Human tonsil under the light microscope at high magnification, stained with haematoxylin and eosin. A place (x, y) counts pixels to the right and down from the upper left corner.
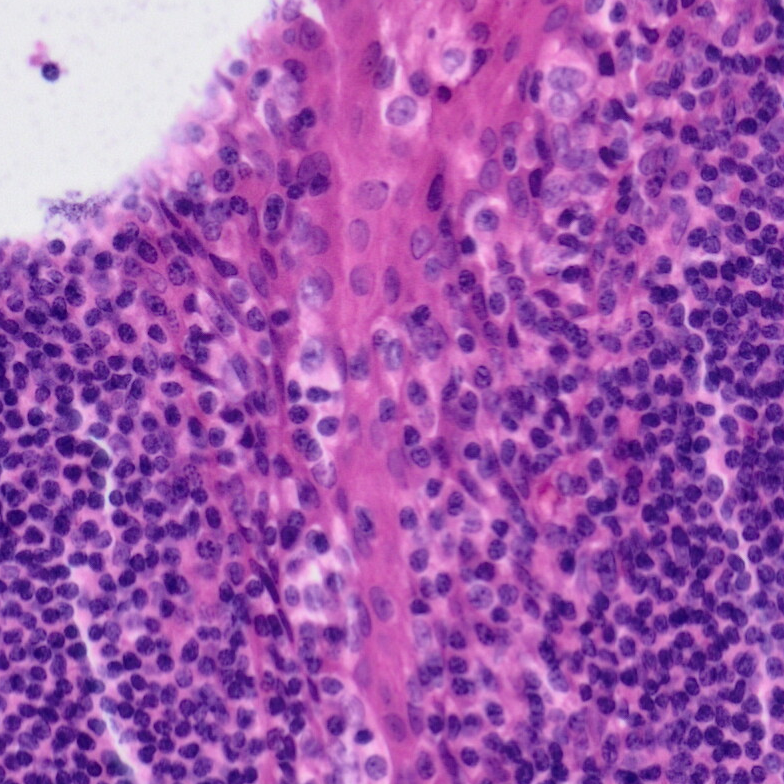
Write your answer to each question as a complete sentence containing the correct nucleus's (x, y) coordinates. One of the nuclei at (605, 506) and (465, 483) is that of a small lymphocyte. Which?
Of the pair, the nucleus positioned at (605, 506) is that of a small lymphocyte.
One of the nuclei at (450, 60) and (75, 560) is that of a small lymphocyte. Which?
The nucleus of the pair that lies within a small lymphocyte is at (75, 560).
